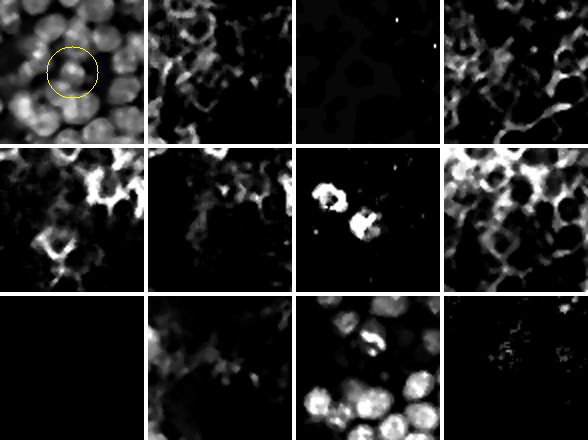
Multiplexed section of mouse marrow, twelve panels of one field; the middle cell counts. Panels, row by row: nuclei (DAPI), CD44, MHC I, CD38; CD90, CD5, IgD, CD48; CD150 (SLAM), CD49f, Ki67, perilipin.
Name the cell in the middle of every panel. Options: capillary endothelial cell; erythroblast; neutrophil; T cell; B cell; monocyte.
B cell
